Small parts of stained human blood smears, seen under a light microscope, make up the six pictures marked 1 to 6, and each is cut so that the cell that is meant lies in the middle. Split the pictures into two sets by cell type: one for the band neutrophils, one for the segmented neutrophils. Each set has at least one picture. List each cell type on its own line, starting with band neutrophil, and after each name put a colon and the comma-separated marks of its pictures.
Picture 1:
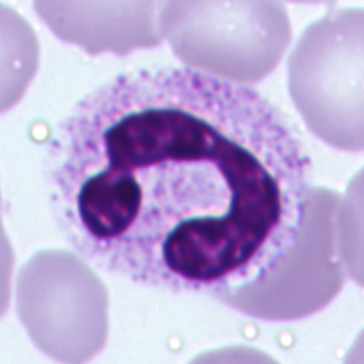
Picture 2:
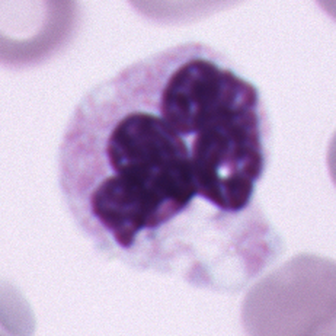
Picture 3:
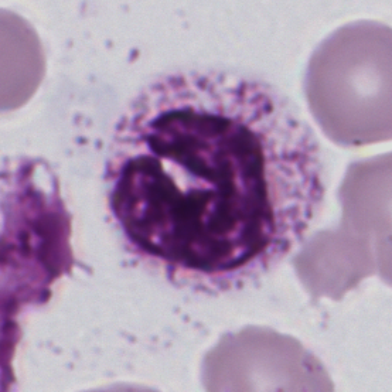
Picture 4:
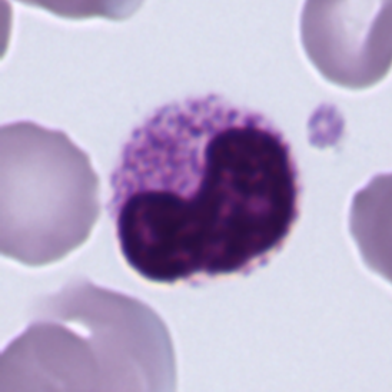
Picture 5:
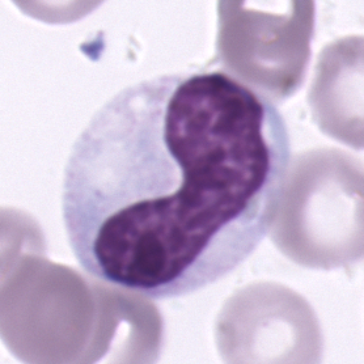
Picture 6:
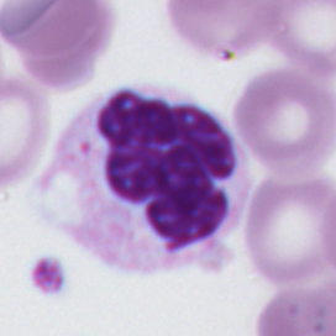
band neutrophil: 3, 4, 5
segmented neutrophil: 1, 2, 6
